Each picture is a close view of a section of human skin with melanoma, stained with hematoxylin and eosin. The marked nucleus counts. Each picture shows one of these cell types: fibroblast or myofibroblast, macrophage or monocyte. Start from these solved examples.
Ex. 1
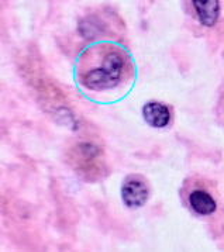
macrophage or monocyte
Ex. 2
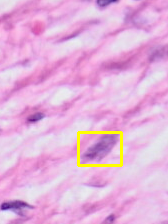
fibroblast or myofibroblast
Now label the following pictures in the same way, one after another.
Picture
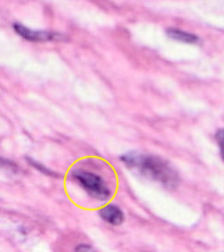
macrophage or monocyte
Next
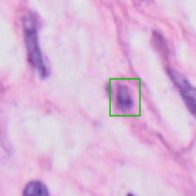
macrophage or monocyte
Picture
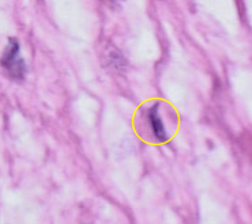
fibroblast or myofibroblast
